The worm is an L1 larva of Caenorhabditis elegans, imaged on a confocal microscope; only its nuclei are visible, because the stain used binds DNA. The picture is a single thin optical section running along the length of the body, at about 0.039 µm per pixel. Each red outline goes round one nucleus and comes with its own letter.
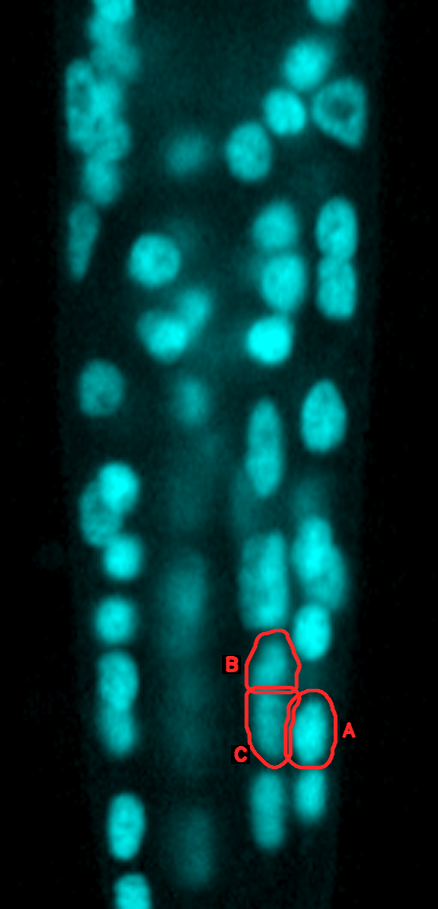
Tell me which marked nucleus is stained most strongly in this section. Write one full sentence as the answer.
A is the most strongly stained.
